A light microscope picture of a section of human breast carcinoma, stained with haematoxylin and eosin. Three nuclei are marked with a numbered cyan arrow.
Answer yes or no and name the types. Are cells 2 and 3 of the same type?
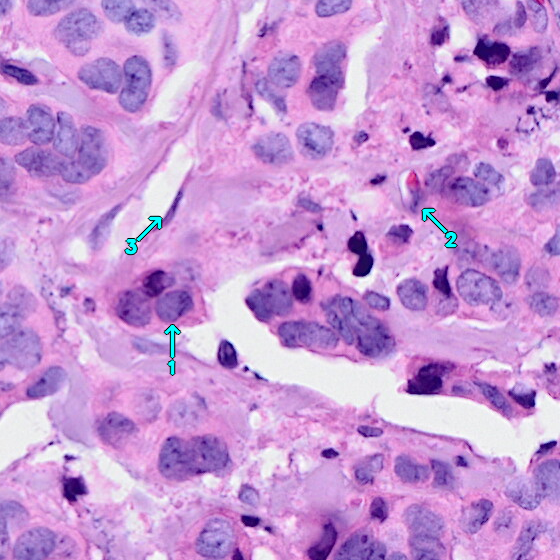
No, cell 2 is an endothelial cell, and cell 3, for its part, is a fibroblast.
